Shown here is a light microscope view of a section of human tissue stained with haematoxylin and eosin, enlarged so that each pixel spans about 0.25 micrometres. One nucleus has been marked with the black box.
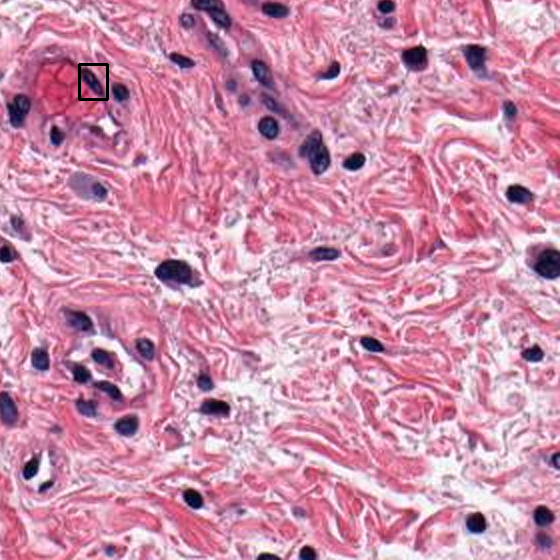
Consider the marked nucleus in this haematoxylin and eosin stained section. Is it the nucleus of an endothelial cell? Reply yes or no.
yes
